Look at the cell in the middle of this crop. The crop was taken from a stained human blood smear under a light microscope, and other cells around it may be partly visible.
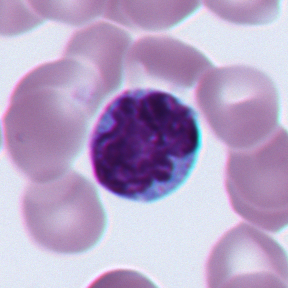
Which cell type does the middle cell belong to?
typical lymphocyte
